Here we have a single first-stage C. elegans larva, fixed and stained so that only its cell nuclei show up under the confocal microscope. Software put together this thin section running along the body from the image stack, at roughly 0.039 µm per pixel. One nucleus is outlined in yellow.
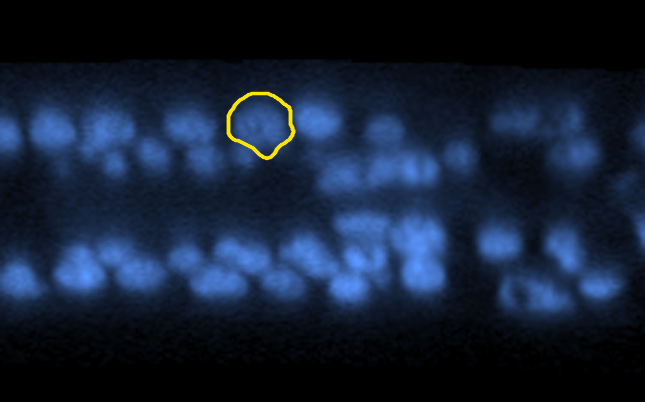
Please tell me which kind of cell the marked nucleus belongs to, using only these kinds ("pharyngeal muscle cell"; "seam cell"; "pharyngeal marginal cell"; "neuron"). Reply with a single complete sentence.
The cell with the marked nucleus is a neuron.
